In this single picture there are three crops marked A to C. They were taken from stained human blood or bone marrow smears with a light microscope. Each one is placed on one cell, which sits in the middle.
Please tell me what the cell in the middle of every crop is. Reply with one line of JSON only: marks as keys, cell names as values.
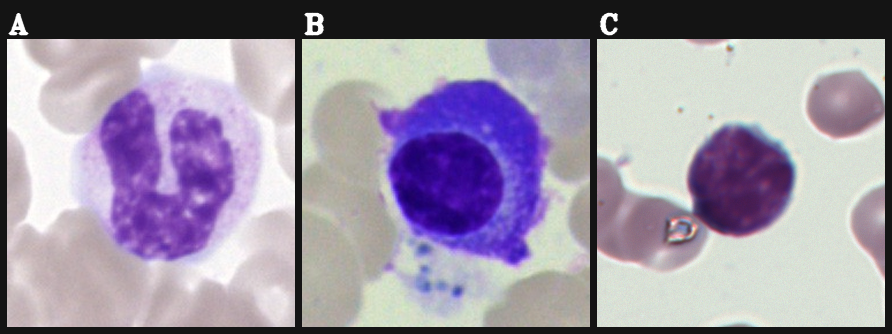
{"A": "band neutrophil", "B": "plasma cell", "C": "lymphocyte"}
